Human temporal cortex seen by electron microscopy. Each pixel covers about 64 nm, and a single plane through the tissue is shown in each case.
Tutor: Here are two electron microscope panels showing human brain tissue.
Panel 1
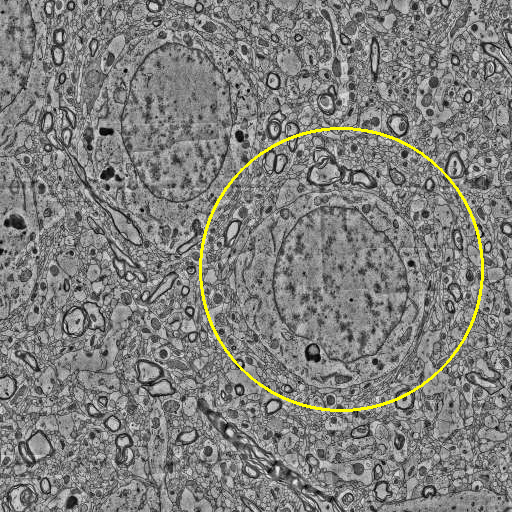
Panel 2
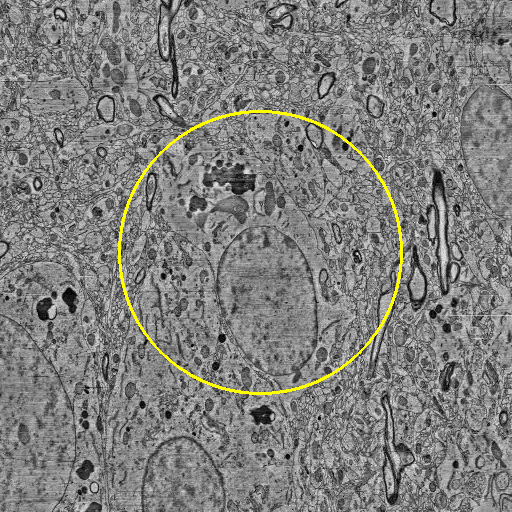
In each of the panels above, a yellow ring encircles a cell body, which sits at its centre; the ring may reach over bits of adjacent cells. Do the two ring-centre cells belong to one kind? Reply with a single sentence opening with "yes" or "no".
No, the two cells sitting at the ring centres in the panels belong to two kinds.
